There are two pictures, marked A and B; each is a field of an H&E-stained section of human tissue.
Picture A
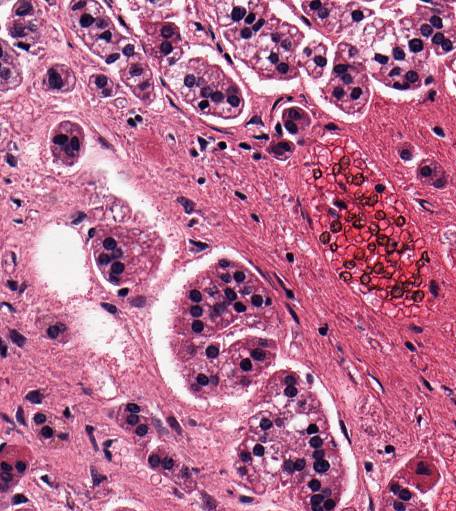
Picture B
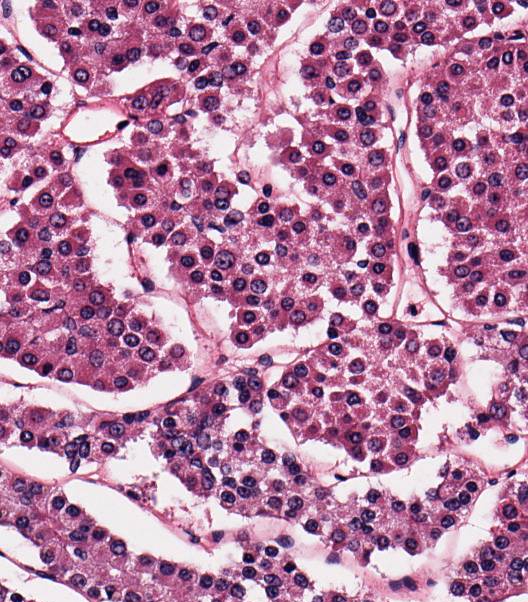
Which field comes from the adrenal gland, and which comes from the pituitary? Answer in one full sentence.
It is picture A that comes from the adrenal gland, and picture B that comes from the pituitary.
